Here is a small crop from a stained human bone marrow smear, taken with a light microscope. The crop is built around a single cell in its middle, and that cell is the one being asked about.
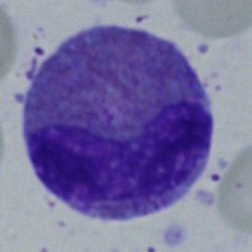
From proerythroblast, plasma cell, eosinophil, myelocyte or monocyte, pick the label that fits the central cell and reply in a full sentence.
This crop has an eosinophil at its centre.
